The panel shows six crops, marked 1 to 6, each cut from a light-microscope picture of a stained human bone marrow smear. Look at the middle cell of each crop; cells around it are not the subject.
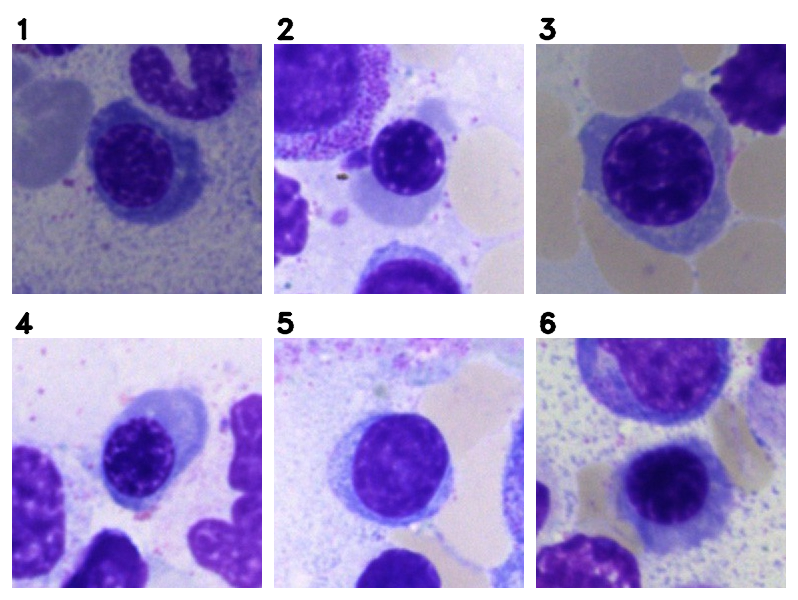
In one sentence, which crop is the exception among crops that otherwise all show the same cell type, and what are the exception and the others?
Crop 5 breaks the pattern as a lymphocyte; the other crops all contain erythroblasts.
